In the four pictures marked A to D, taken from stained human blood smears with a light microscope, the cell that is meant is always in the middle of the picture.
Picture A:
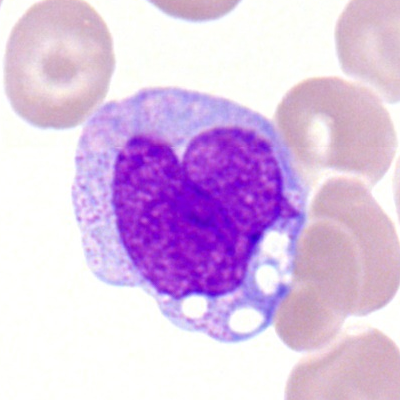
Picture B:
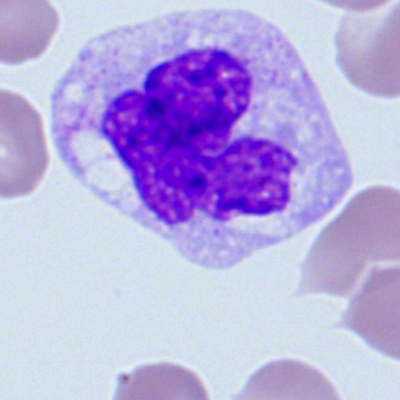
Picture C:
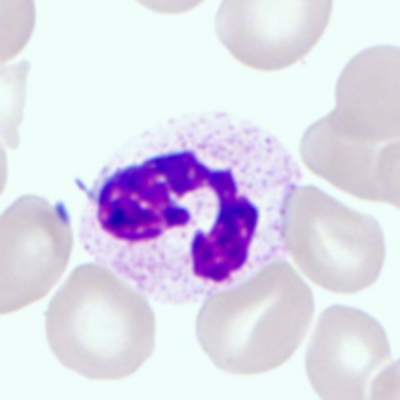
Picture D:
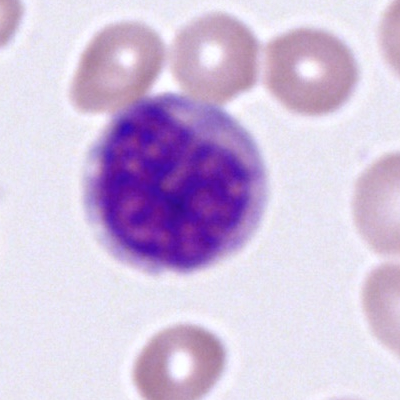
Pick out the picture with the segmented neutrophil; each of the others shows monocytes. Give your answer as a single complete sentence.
The cell in picture C is the segmented neutrophil.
